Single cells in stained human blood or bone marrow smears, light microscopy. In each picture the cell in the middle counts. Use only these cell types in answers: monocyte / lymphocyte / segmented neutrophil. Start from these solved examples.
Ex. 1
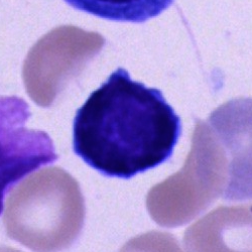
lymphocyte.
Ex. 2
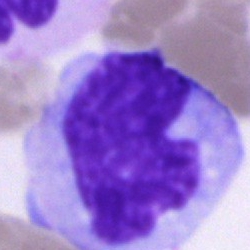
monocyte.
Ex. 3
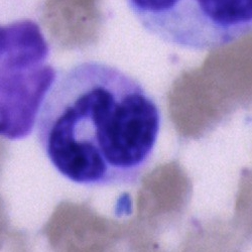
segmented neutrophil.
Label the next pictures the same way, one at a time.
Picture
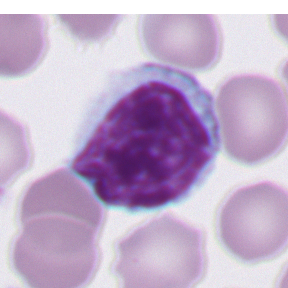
lymphocyte.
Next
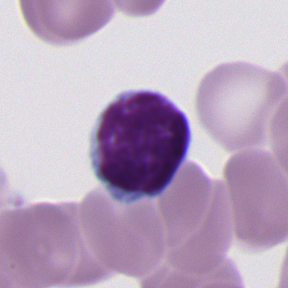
lymphocyte.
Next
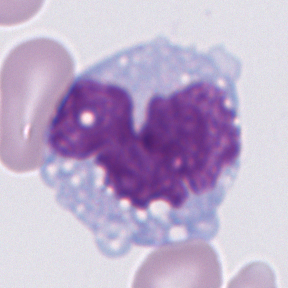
monocyte.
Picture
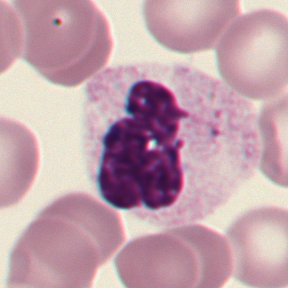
segmented neutrophil.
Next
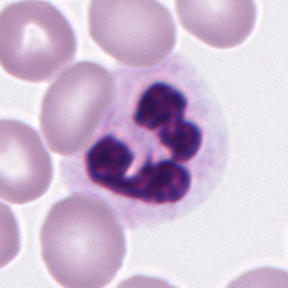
segmented neutrophil.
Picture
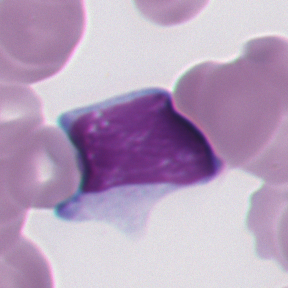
lymphocyte.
